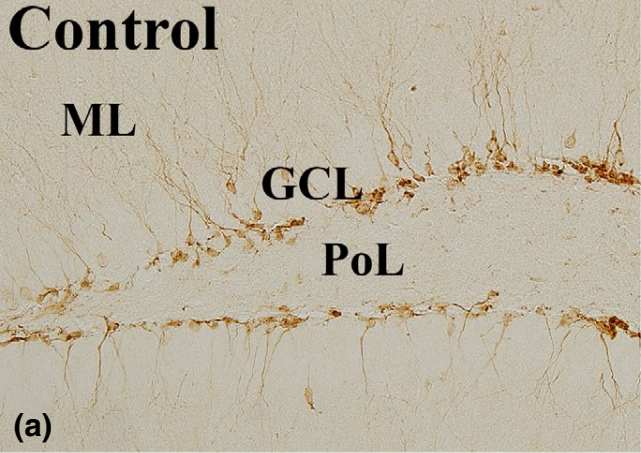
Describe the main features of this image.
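This is the dentate gyrus of the hippocampus, with two curved blades of the granule cell layer enclosing the paler polymorphic layer. Dark brown cell bodies sit in rows along the inner edge of each blade, where the granule cell layer meets the polymorphic layer, that is the subgranular zone. From many of these cell bodies thin brown dendrites run radially through the granule cell layer and fan out into the molecular layer beyond. The rest of the tissue is only pale beige, so the stained cells stand out as a thin, dense band at the border of the layers. These are stained cell bodies and dendrites in the subgranular zone and granule cell layer.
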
